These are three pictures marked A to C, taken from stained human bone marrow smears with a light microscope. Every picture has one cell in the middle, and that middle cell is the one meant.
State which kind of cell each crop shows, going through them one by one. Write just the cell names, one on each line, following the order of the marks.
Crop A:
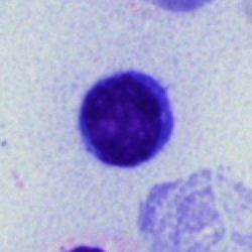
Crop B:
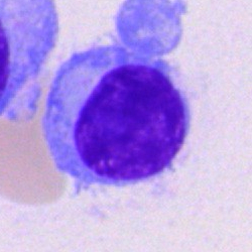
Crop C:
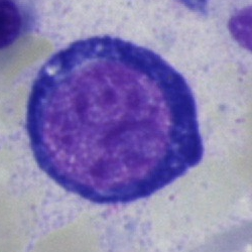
lymphocyte
plasma cell
proerythroblast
